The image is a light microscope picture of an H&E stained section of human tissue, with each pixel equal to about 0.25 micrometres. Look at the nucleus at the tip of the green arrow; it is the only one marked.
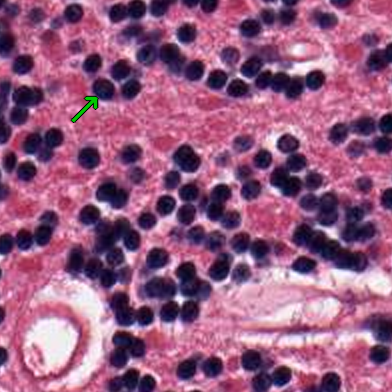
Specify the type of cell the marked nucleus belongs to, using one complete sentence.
The nucleus with the mark belongs to a cerebellar granule cell.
